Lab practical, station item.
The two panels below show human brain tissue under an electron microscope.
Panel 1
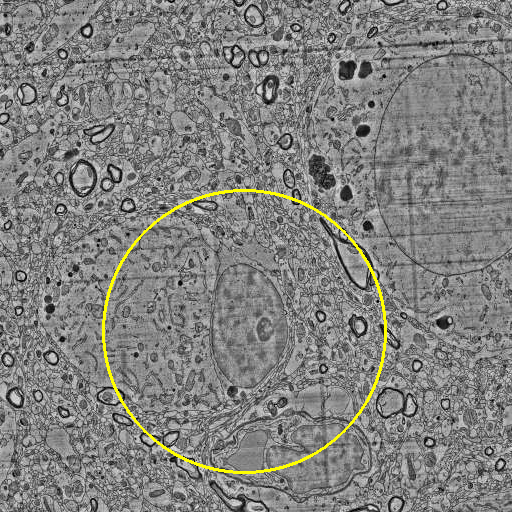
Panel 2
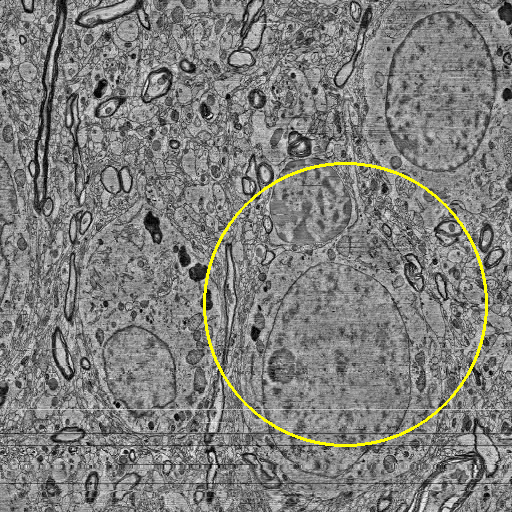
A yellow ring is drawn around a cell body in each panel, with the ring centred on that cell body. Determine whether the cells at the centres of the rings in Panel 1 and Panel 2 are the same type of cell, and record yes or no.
no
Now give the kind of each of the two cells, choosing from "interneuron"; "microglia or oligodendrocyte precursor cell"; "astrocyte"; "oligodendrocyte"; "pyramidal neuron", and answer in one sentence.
The cell in the first picture is an oligodendrocyte, and the cell in the second is a pyramidal neuron.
